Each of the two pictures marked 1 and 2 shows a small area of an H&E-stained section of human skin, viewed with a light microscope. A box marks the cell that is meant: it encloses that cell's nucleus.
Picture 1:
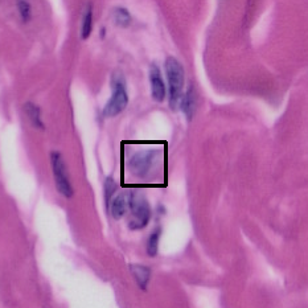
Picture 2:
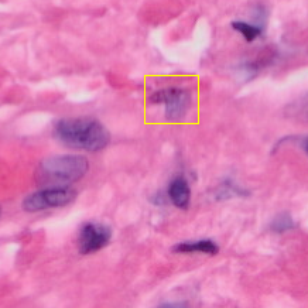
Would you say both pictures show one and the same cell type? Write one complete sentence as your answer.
No, picture 1 shows an endothelial cell and picture 2 shows a fibroblast.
